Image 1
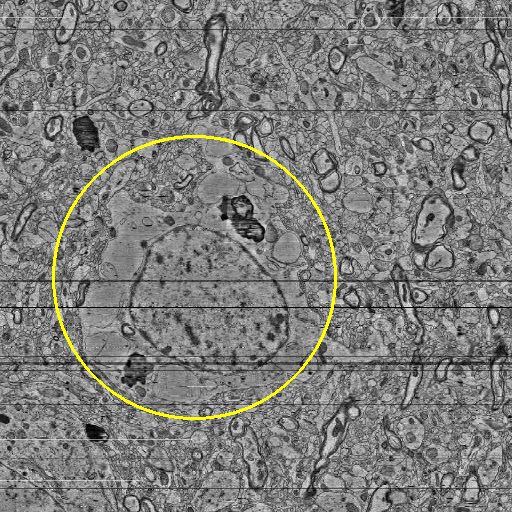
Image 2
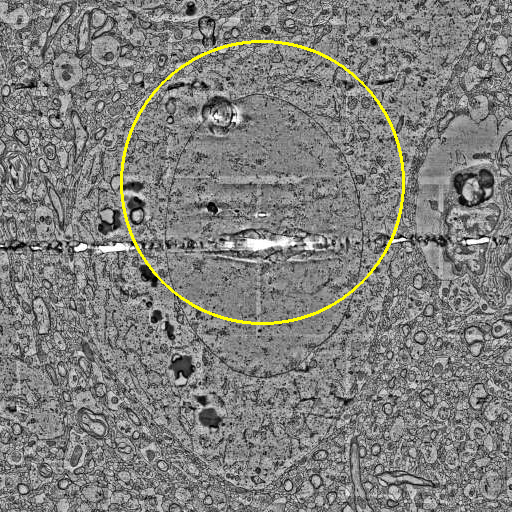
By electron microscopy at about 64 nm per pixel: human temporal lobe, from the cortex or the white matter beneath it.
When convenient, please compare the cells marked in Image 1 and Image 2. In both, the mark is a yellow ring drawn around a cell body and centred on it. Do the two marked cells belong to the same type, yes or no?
no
